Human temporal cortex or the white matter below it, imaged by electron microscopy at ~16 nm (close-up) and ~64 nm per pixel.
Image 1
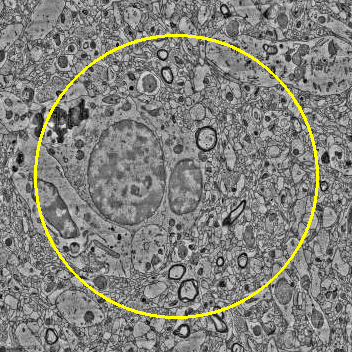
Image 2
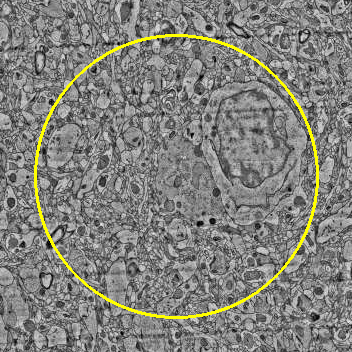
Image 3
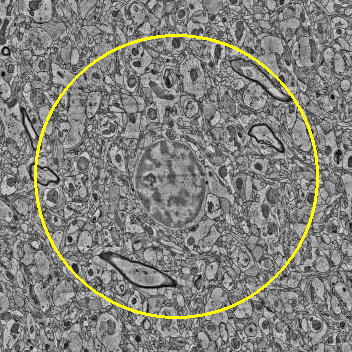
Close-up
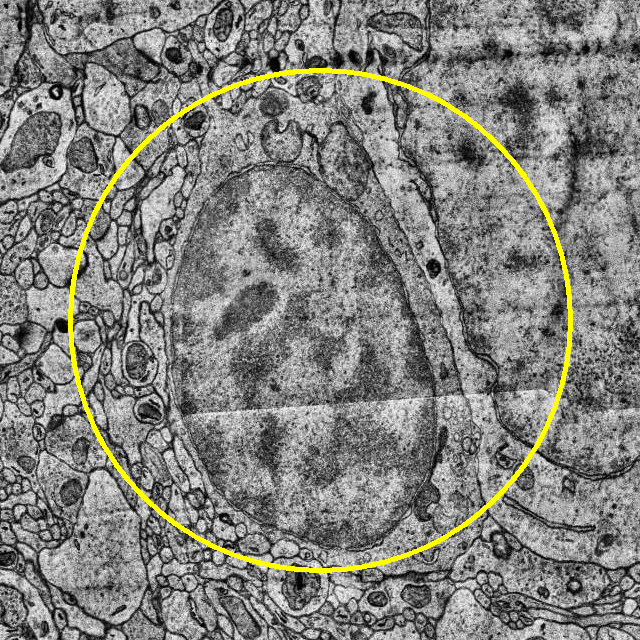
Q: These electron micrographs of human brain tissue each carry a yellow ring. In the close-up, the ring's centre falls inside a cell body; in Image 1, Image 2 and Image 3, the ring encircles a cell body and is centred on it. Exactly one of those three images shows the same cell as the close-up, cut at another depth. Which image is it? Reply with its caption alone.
Image 2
